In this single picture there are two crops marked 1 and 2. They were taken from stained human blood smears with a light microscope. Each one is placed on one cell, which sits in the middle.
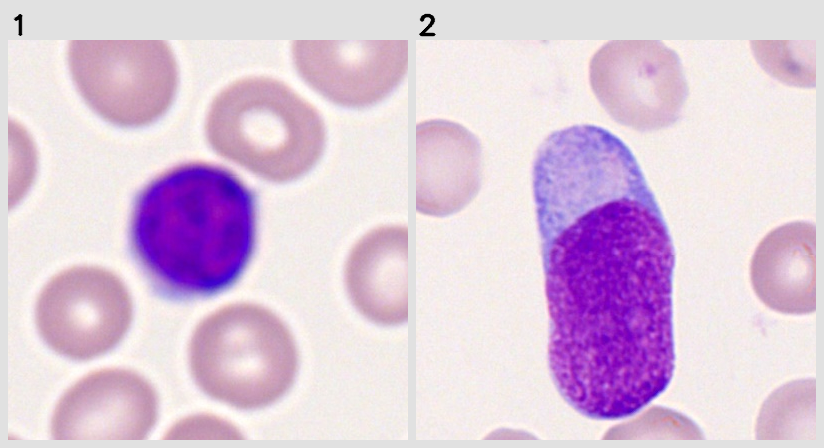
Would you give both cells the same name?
no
